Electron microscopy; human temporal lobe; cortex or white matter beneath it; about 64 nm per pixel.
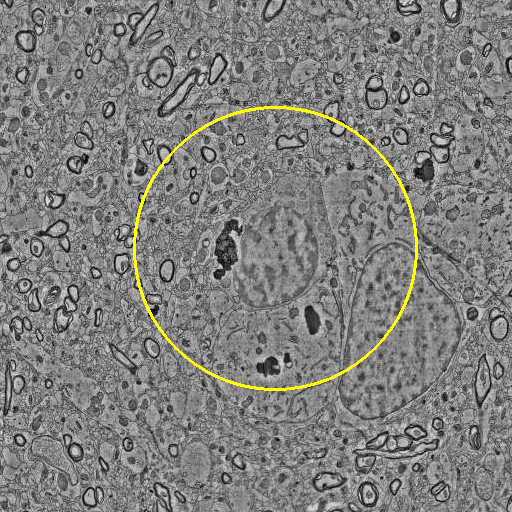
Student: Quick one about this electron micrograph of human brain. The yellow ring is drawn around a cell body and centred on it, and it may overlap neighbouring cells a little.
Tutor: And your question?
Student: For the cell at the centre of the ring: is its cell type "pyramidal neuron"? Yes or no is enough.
no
